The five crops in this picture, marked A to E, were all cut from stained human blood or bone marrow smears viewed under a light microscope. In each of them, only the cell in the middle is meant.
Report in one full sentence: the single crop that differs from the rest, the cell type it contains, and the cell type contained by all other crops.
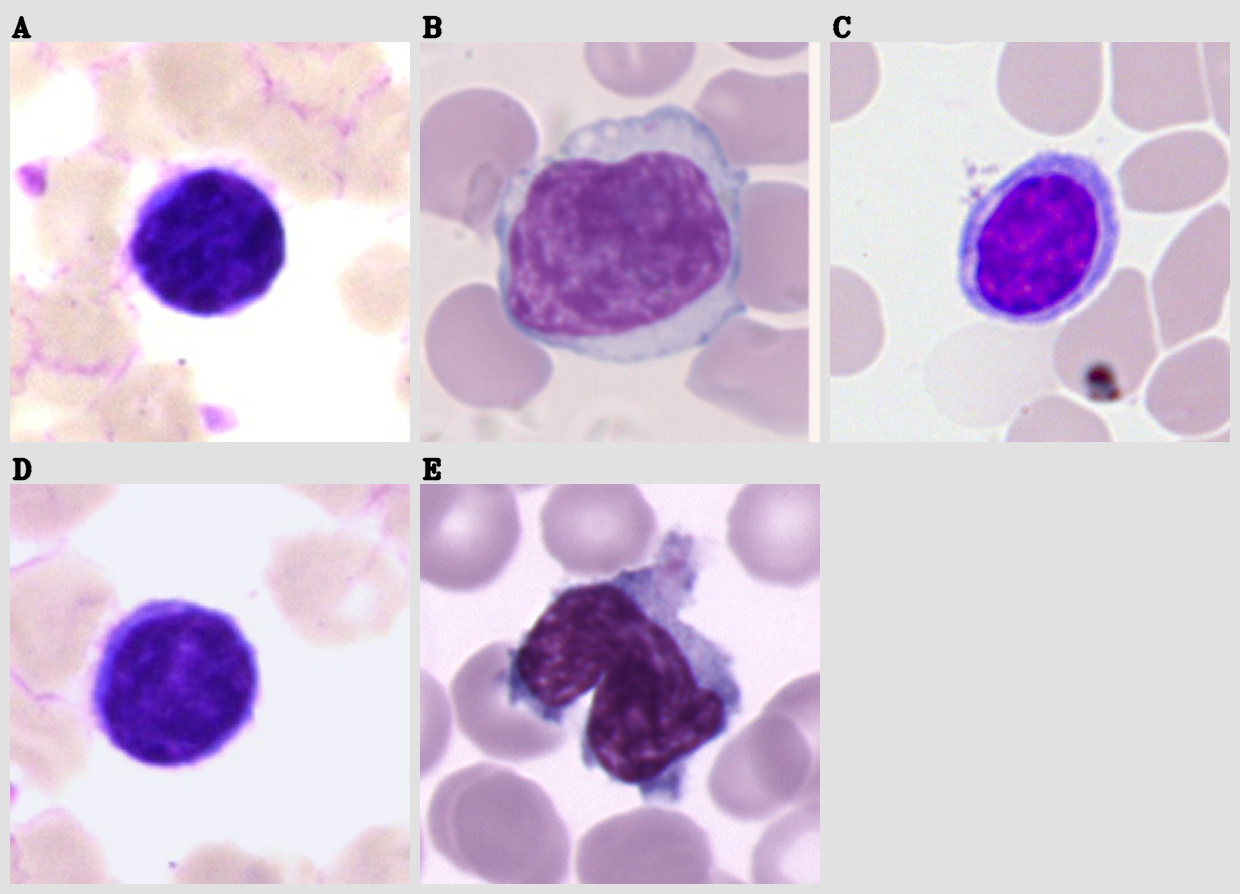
The different crop is crop B, a blast; all the others show lymphocytes.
